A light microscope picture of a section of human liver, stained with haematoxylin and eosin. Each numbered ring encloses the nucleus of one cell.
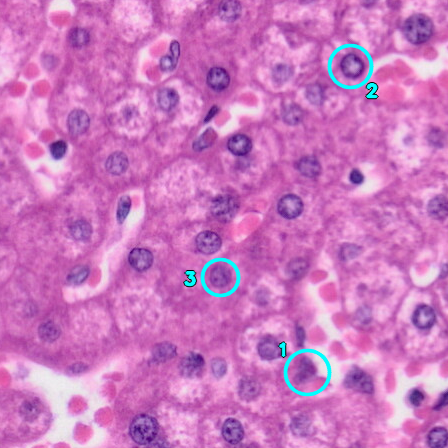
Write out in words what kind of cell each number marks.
Cell 1 is an endothelial cell. Cells 2 and 3 are hepatocytes.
